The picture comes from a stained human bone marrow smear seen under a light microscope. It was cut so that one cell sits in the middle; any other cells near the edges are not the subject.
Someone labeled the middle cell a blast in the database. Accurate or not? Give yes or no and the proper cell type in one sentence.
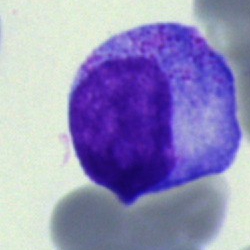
No, the cell in the middle is a promyelocyte; it is not a blast.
